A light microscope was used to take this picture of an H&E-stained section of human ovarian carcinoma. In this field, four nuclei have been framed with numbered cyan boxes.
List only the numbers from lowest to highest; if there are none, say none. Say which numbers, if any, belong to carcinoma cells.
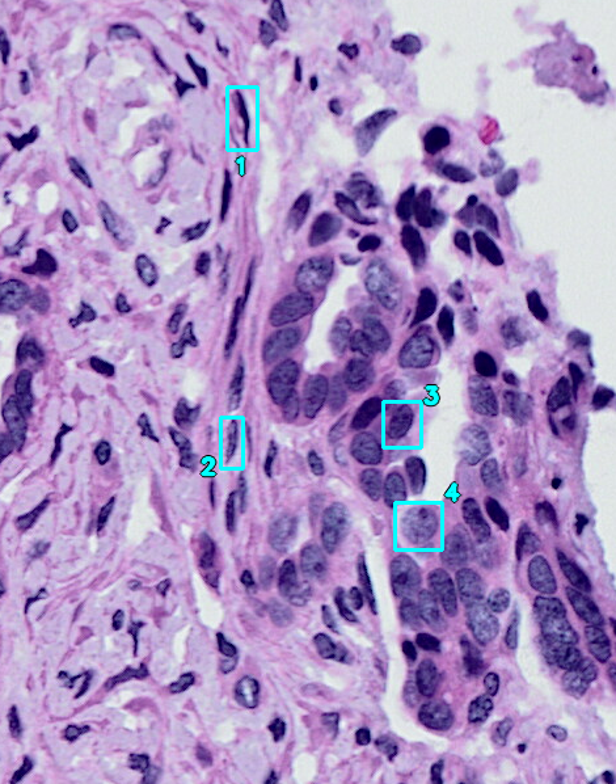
3, 4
